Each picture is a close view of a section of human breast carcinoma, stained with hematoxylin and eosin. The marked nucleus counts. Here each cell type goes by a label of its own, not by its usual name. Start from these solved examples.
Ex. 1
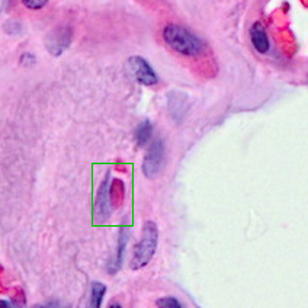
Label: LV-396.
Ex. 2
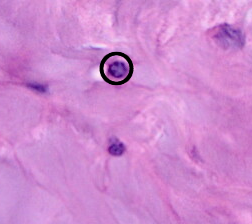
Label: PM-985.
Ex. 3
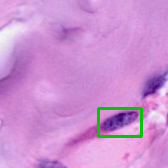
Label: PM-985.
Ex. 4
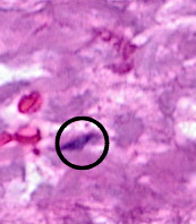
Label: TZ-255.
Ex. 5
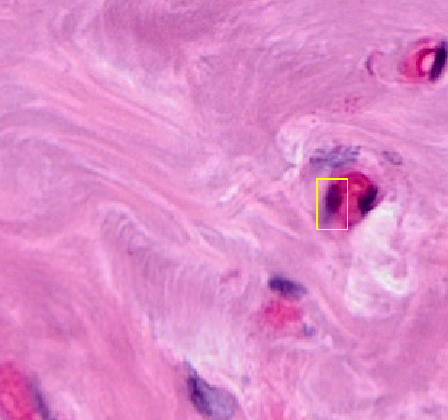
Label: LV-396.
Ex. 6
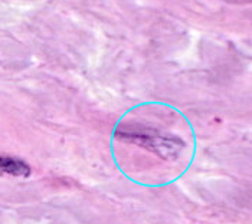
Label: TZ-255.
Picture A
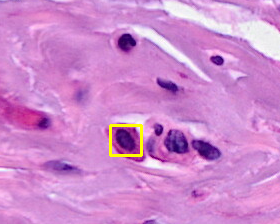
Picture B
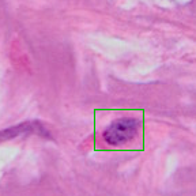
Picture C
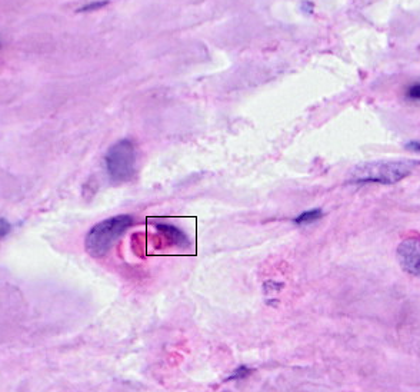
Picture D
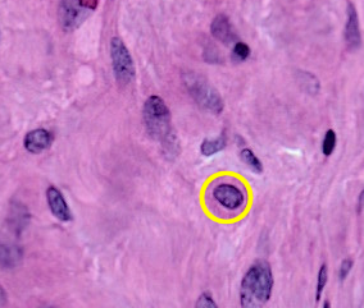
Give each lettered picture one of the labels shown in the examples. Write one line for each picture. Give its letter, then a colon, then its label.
A: PM-985.
B: PM-985.
C: LV-396.
D: PM-985.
